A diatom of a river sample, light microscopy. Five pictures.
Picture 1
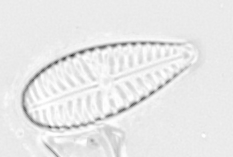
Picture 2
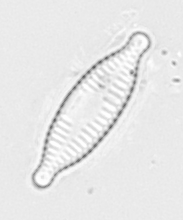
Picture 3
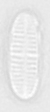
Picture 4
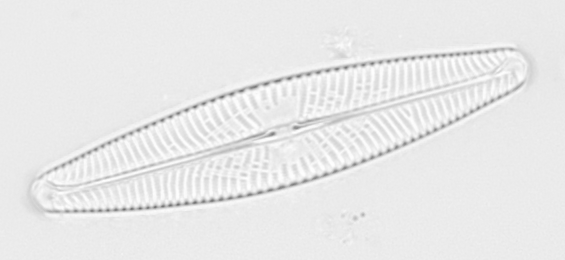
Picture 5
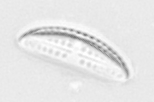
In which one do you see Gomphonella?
In picture 1.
